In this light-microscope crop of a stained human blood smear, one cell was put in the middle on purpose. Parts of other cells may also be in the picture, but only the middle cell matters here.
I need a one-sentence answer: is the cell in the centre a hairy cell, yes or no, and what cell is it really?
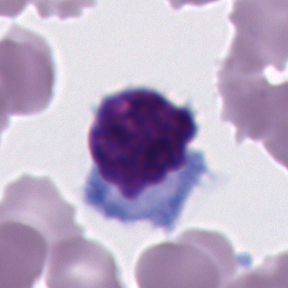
Yes, the cell in the middle of this smear crop is a hairy cell.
